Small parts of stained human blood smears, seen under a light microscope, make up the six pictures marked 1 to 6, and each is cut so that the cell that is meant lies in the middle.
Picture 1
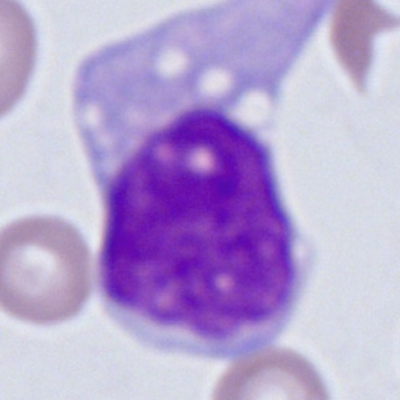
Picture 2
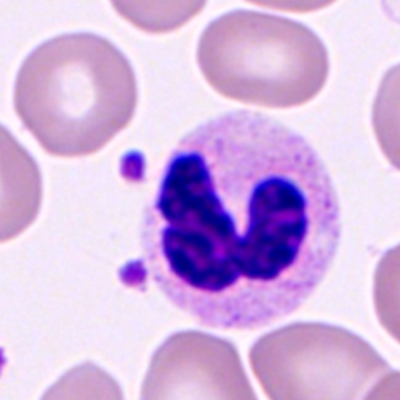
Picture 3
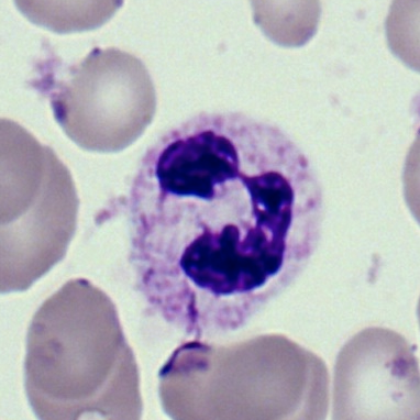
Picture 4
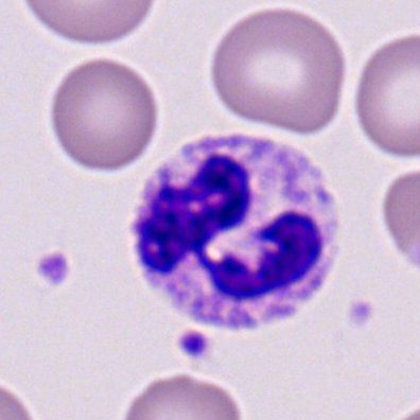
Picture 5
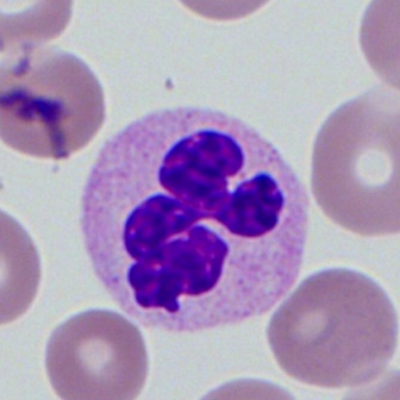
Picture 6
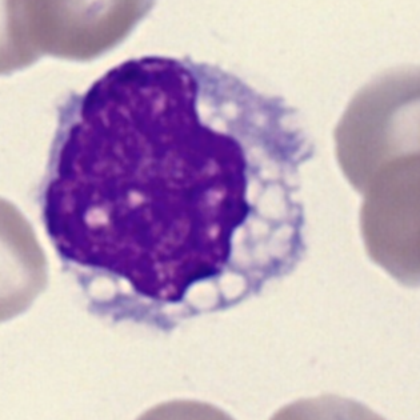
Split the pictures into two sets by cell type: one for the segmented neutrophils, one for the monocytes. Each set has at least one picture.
1: monocyte
2: segmented neutrophil
3: segmented neutrophil
4: segmented neutrophil
5: segmented neutrophil
6: monocyte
